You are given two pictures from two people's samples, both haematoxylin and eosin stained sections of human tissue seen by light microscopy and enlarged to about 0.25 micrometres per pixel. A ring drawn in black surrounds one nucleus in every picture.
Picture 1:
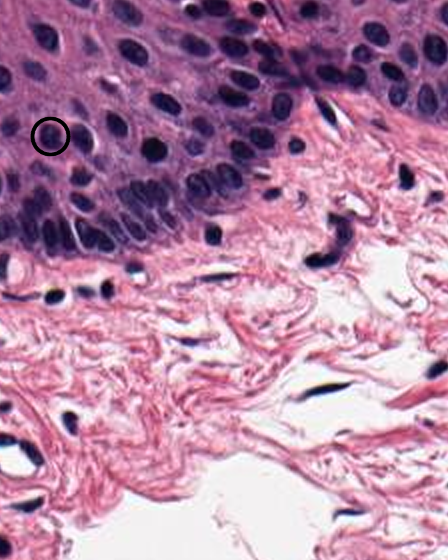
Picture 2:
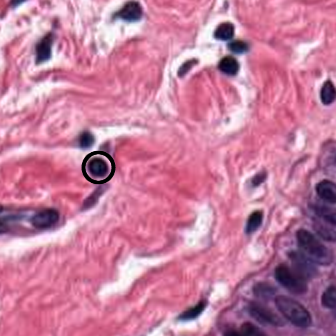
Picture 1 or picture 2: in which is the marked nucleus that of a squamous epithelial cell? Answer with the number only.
1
